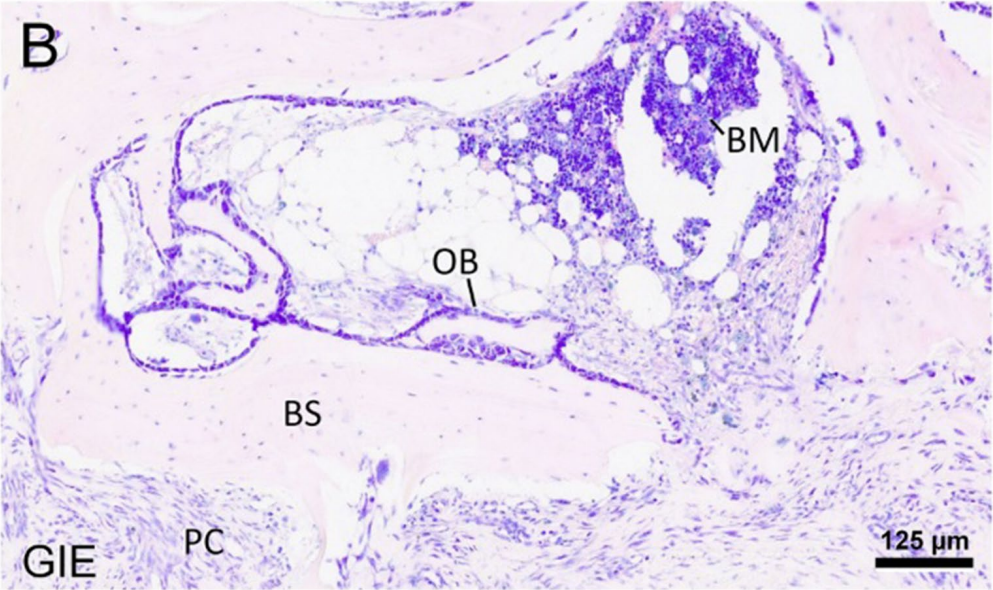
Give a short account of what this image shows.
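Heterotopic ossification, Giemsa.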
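Pale pink bone spicules enclose a marrow space lined along the bone surface by a continuous row of plump, deep purple osteoblasts. The marrow space holds clusters of densely packed, darkly stained hematopoietic cells alongside many round, clear fat vacuoles. Below the bone lies a layer of spindle-shaped cells in a fibrous, capsule-like arrangement.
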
